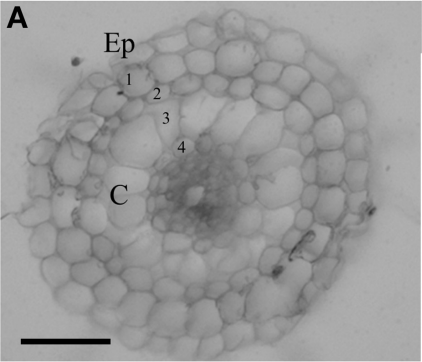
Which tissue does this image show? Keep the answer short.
Roots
